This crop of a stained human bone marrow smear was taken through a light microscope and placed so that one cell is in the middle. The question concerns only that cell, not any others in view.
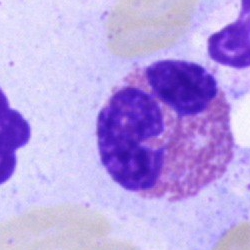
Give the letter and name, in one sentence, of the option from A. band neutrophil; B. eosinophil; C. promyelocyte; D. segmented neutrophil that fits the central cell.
The cell in the centre of the crop is an eosinophil, so option B is the correct one.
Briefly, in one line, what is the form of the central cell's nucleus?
Two or more lobes make up the nucleus of this cell.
